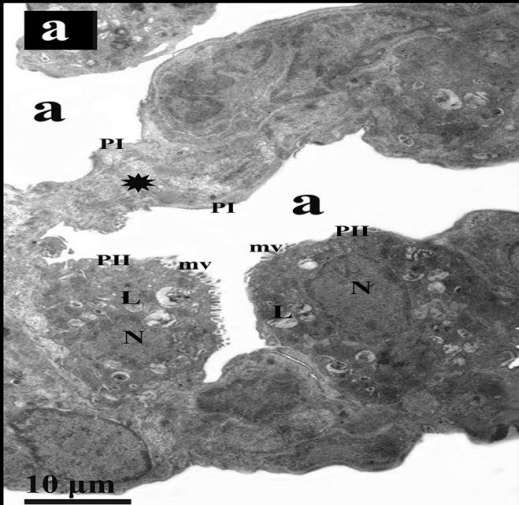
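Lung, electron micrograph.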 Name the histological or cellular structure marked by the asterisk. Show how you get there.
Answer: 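The asterisk lies on a thin strip of tissue between two empty air spaces.
Conclusion: interalveolar septa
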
